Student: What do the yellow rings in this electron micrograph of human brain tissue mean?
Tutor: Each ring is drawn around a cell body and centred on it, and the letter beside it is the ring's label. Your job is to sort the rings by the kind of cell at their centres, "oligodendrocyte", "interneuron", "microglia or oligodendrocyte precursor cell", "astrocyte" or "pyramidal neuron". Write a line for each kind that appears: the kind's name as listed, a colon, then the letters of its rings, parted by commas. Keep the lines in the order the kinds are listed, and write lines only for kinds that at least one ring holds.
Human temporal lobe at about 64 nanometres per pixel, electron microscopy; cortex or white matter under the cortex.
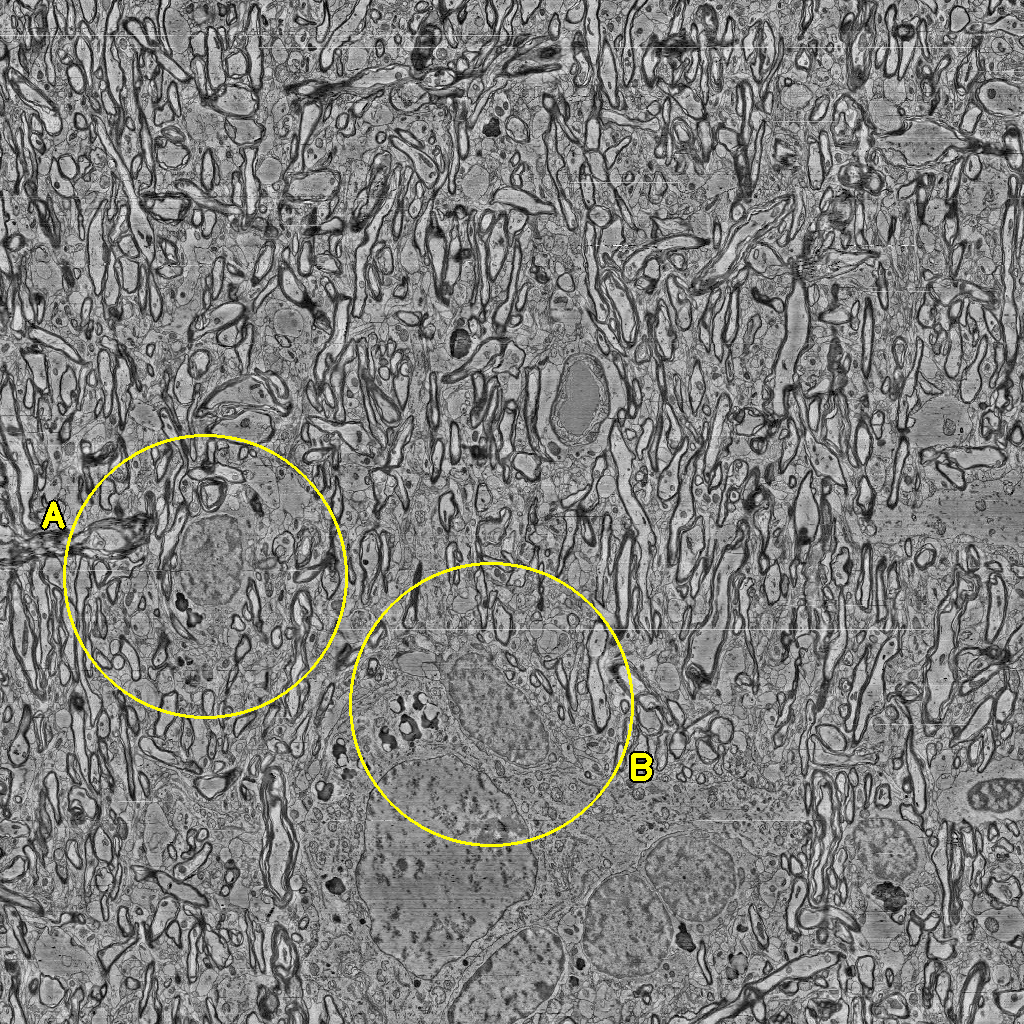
oligodendrocyte: A, B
